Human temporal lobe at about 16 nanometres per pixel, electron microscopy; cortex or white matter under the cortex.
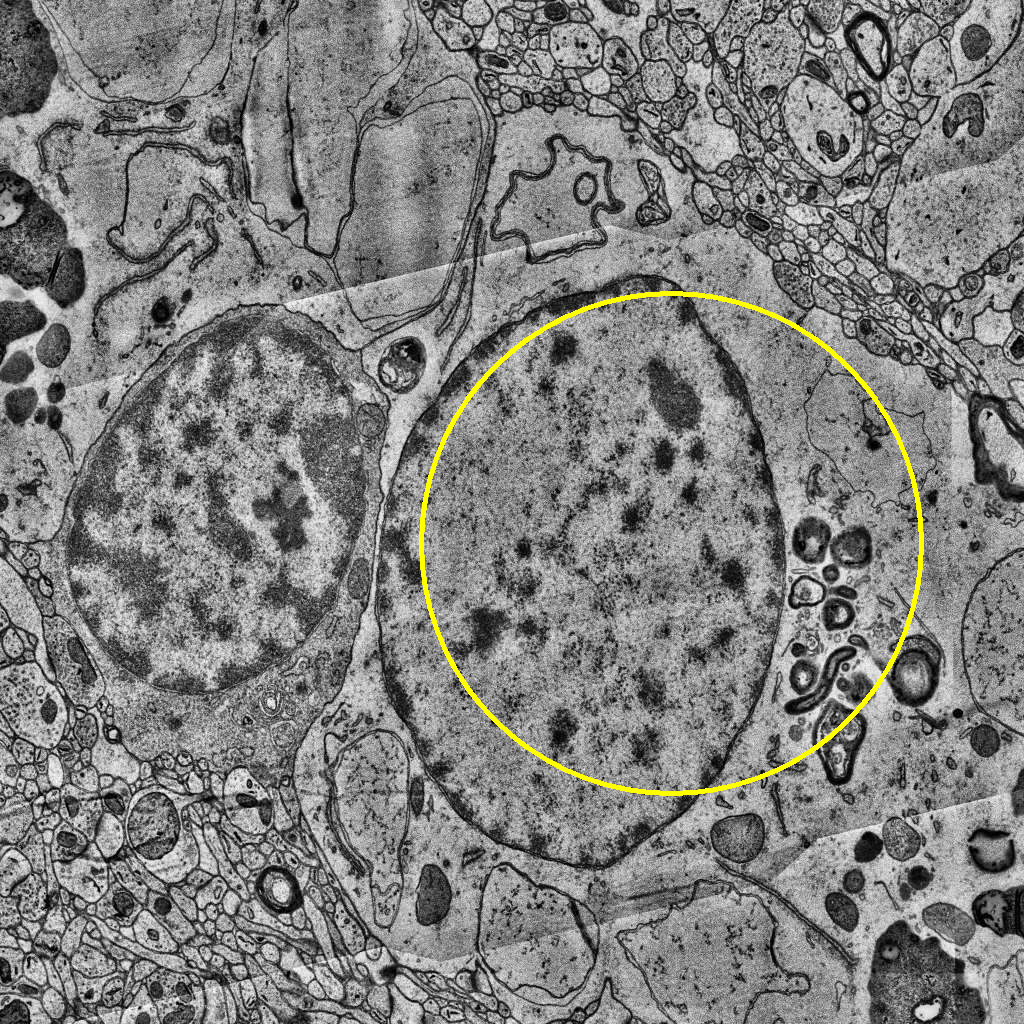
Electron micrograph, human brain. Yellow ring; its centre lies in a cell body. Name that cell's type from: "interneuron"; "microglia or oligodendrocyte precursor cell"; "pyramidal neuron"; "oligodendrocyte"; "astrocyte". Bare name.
astrocyte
